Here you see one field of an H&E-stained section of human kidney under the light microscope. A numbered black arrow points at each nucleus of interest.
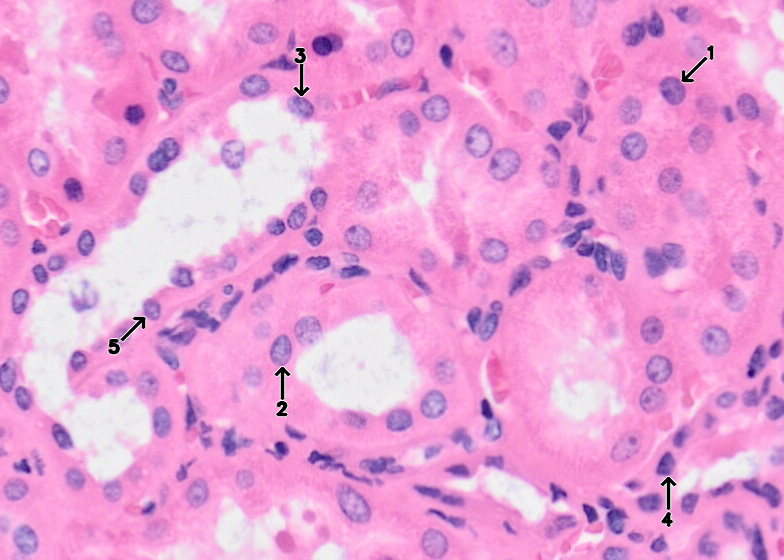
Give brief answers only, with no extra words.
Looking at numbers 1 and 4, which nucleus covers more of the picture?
1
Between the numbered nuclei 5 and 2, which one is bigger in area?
2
